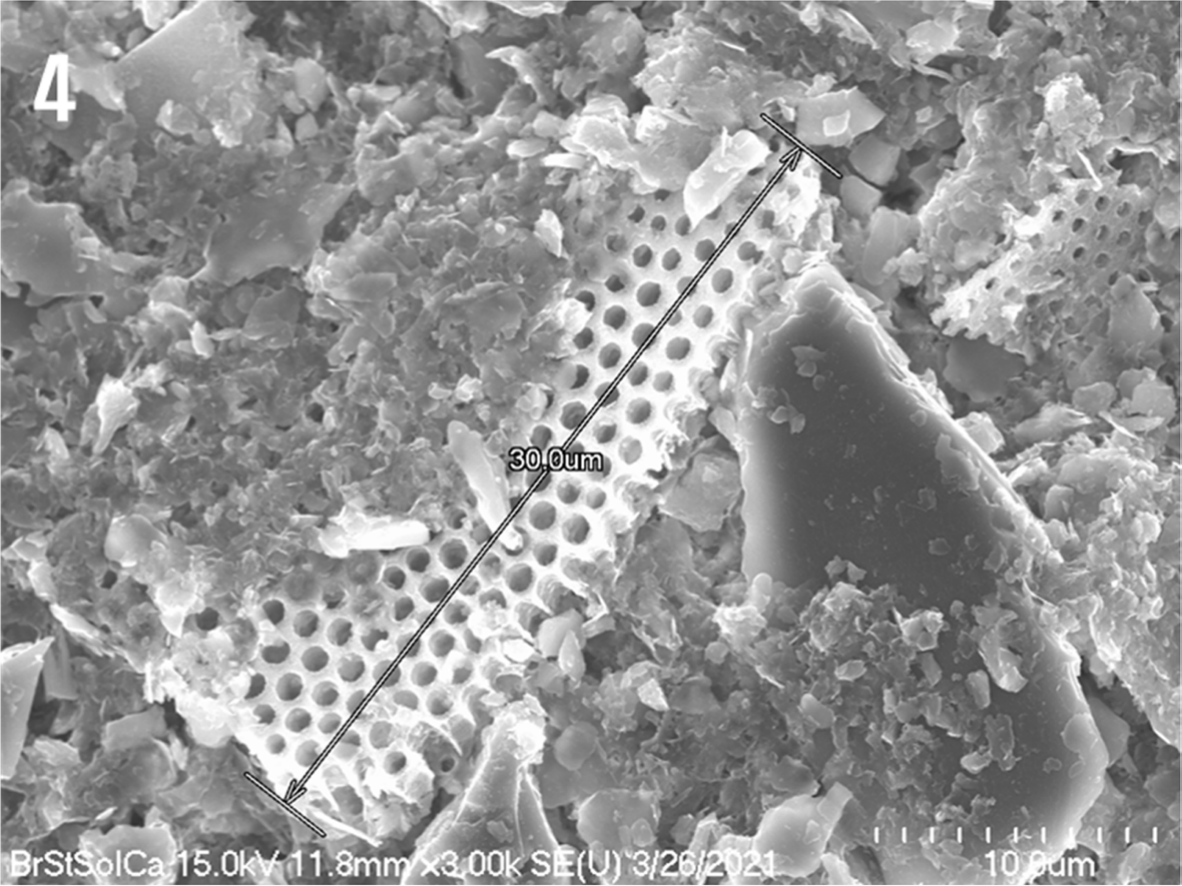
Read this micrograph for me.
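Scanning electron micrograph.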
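A fragment of a diatom frustule, the perforated wall of a diatom, lies embedded among irregular flaky particles. The frustule appears as a flat elongated plate pierced by regularly spaced round pores that are arranged in parallel rows. The pores are of fairly uniform size, and the thin walls between them are intact over most of the plate, with ragged broken edges at its ends. A smaller perforated fragment lies at the upper right, and a large smooth angular particle lies beside the frustule.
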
